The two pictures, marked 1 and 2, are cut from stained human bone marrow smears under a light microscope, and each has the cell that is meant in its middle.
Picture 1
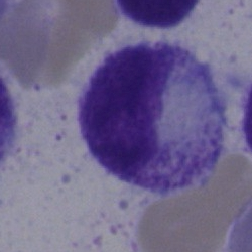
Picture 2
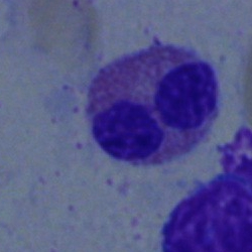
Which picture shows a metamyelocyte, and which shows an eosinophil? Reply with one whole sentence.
In picture 1 the cell is a metamyelocyte; in picture 2, an eosinophil.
